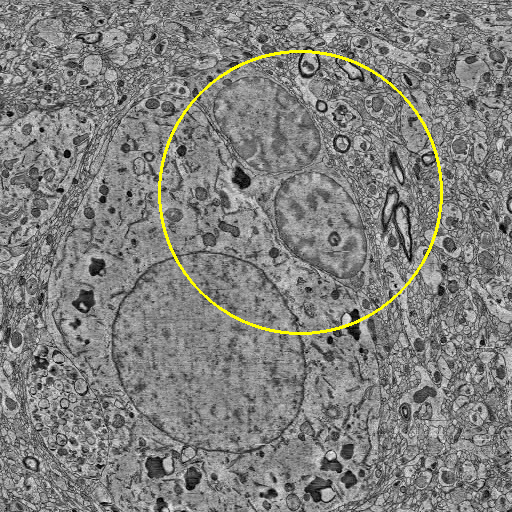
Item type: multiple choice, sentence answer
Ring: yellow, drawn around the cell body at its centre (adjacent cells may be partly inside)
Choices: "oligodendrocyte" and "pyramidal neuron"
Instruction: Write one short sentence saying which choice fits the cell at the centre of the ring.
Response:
This ring is drawn around an oligodendrocyte.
